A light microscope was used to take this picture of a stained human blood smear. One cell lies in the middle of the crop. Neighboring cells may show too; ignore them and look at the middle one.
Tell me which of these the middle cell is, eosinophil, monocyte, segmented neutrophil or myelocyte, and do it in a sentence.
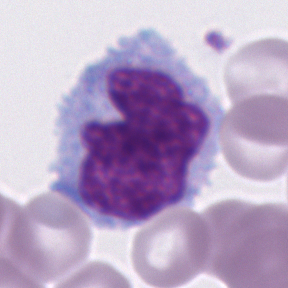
The cell under consideration, at the middle of the crop, is a monocyte.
